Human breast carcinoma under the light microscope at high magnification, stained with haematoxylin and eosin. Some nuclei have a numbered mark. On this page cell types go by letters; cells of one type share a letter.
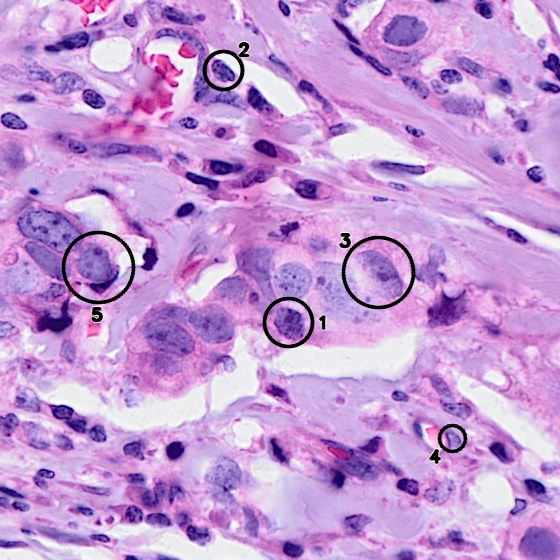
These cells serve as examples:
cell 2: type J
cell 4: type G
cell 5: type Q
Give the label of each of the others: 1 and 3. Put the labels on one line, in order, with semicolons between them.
type Q; type Q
